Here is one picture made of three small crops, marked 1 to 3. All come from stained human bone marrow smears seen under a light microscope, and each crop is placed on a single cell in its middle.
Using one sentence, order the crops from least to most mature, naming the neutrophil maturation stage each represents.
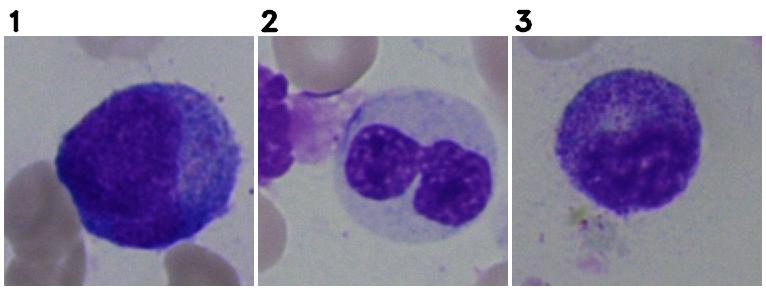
In order from least mature to most mature, the crops stand crop 1 (a promyelocyte), crop 3 (a myelocyte) and crop 2 (a segmented neutrophil).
